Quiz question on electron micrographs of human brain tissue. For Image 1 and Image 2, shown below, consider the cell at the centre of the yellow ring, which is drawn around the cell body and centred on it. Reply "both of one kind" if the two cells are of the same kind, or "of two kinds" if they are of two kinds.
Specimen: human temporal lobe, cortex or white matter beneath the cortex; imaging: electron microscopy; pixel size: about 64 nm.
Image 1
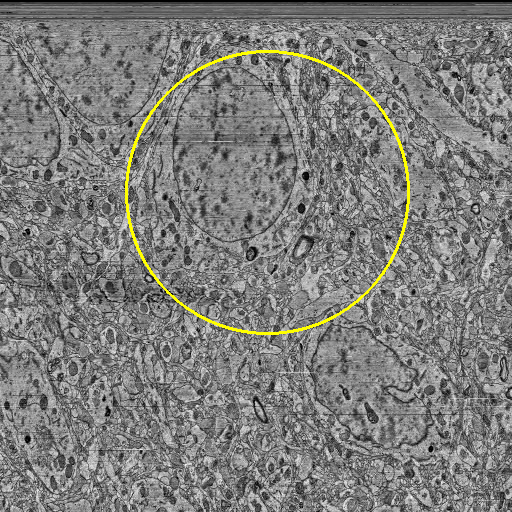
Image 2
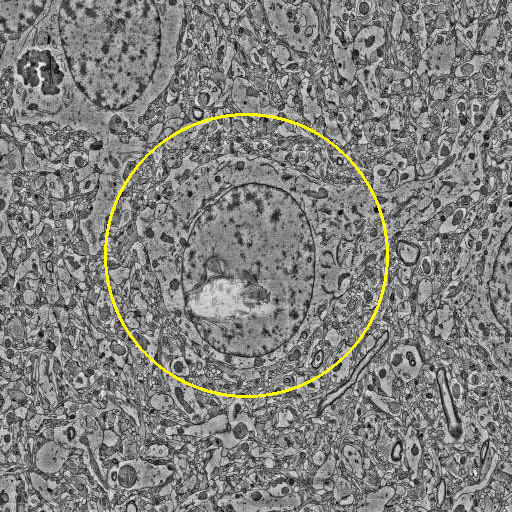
both of one kind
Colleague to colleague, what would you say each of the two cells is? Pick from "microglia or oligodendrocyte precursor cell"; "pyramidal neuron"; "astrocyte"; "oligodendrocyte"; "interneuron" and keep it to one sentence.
Each cell at the centre of a ring is a pyramidal neuron.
